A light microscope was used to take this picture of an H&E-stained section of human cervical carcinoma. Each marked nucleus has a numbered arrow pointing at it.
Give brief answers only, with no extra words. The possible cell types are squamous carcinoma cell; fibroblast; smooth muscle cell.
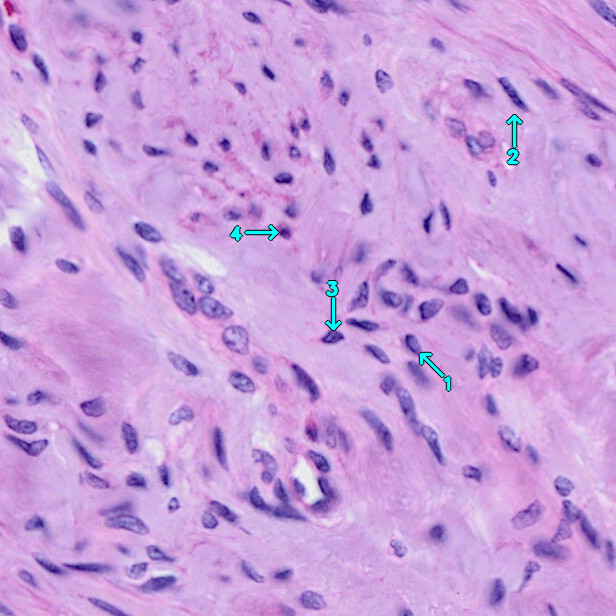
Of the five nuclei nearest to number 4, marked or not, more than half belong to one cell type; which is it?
fibroblast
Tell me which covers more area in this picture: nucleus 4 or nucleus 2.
2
